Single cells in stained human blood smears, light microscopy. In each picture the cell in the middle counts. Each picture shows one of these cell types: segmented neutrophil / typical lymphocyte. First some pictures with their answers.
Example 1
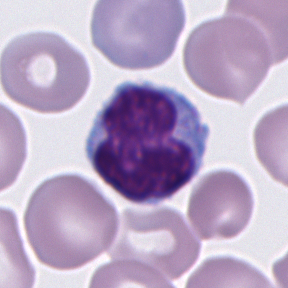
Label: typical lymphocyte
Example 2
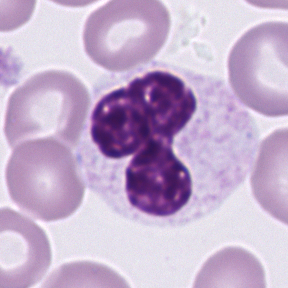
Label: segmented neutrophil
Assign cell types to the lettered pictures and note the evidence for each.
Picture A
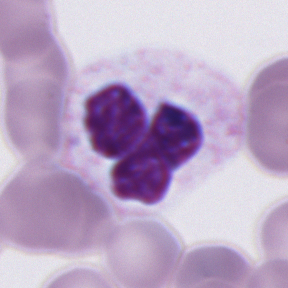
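segmented neutrophil. Reason: The cytoplasm is abundant and very pale pink.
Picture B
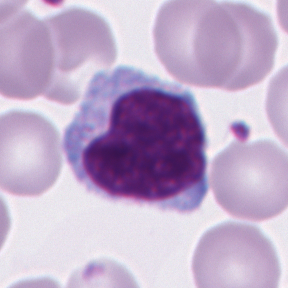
typical lymphocyte. Reason: The nucleus has a notch on its upper left side, giving it a broadly bean-like shape.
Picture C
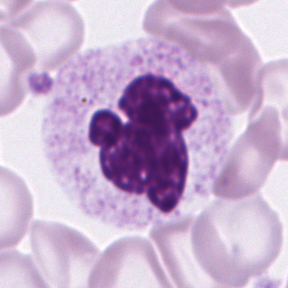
segmented neutrophil. Reason: Abundant pale lilac cytoplasm forms a wide rim around the nucleus.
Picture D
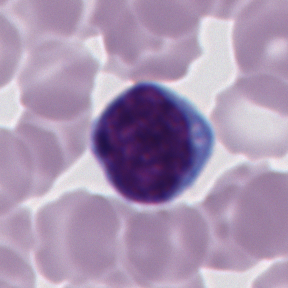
typical lymphocyte. Reason: The nucleus fills most of the cell.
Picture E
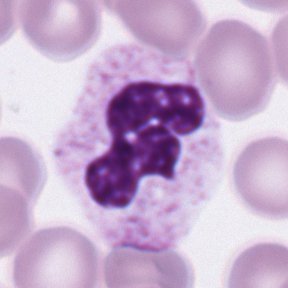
segmented neutrophil. Reason: The nucleus is bent into an irregular S-like shape with several indentations.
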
